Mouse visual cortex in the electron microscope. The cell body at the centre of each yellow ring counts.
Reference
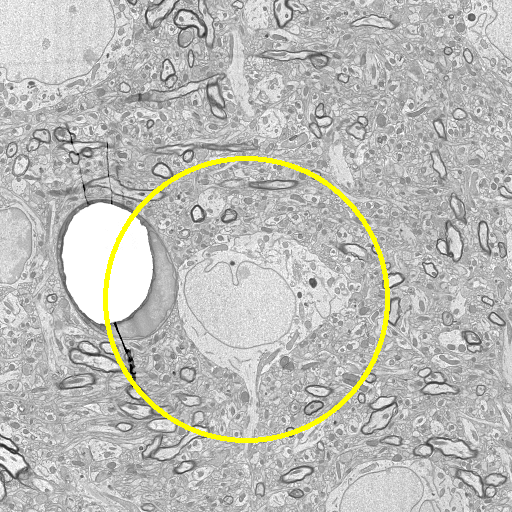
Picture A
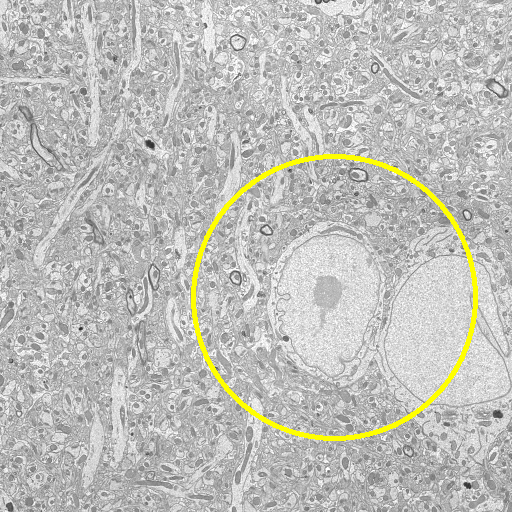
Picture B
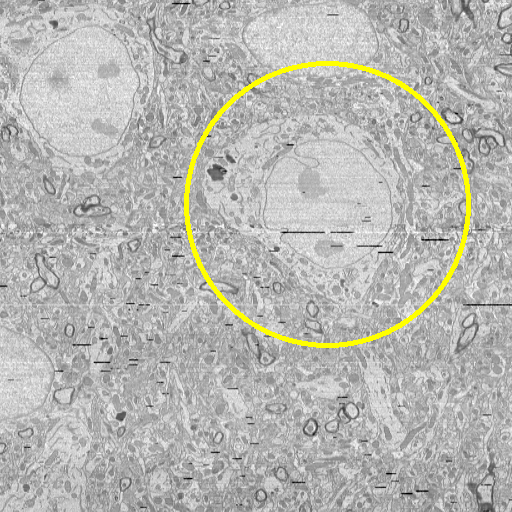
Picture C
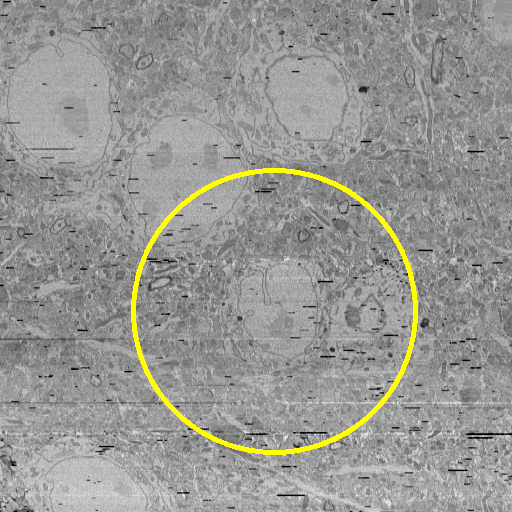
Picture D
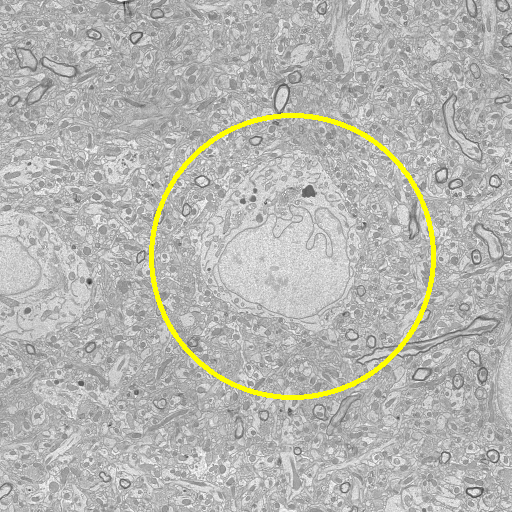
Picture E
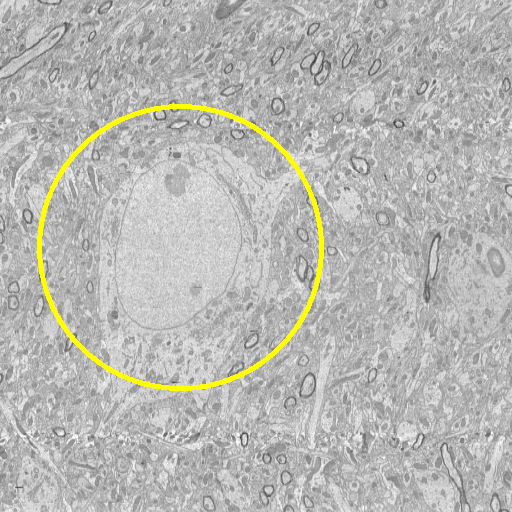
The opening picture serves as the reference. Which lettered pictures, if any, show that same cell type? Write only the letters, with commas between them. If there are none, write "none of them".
B, E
